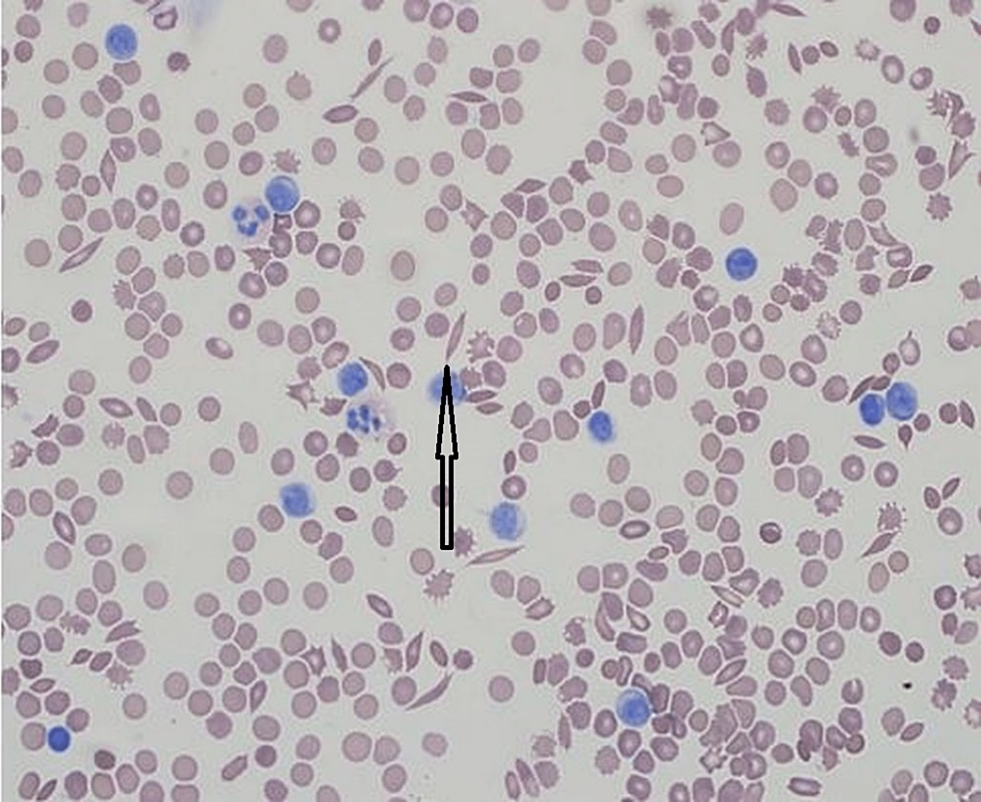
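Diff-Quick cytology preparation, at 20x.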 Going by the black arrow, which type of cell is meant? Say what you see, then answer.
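The arrow tip points at an elongated, crescent-shaped red cell tapering at both ends. Many similar elongated, pointed red cells are scattered among round red cells across the field.
Answer: sickle cells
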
